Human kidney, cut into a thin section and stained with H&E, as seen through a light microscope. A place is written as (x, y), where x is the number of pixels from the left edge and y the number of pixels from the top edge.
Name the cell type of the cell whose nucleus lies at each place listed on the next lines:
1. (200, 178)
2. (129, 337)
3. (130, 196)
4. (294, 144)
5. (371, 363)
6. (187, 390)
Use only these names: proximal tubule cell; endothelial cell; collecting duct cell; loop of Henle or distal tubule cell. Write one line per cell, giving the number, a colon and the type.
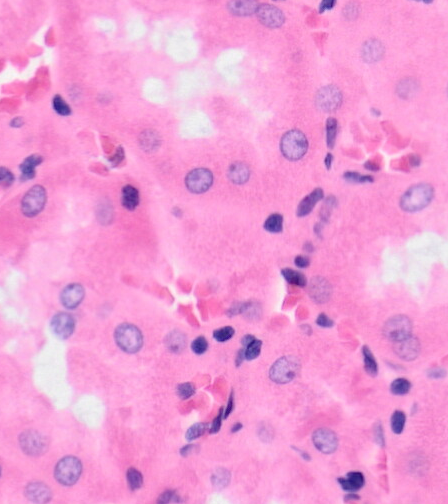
1: proximal tubule cell
2: proximal tubule cell
3: proximal tubule cell
4: proximal tubule cell
5: endothelial cell
6: endothelial cell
